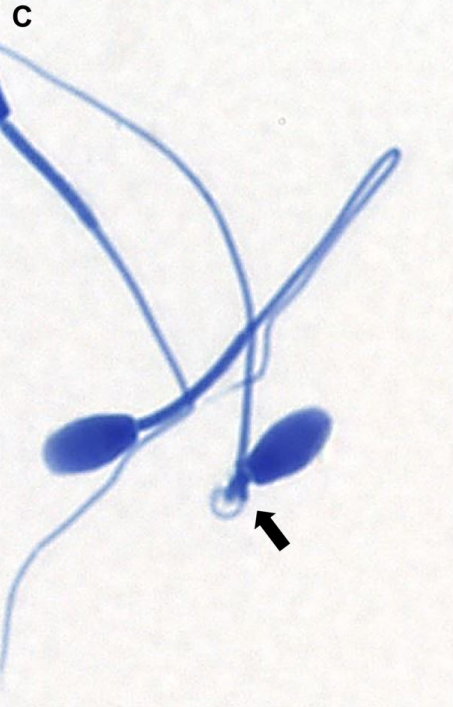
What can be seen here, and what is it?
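Several spermatozoa with blue, oval heads and long slender tails are seen. One spermatozoon's tail folds back on itself near its far end, forming a narrow hairpin loop. Another spermatozoon shows a midpiece that bends sharply and curls into a small loop right next to its head.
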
